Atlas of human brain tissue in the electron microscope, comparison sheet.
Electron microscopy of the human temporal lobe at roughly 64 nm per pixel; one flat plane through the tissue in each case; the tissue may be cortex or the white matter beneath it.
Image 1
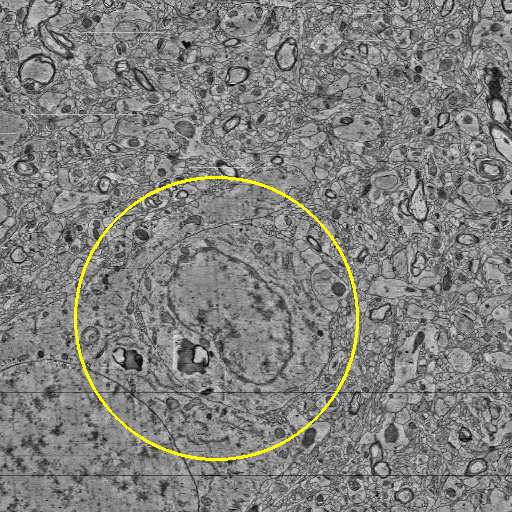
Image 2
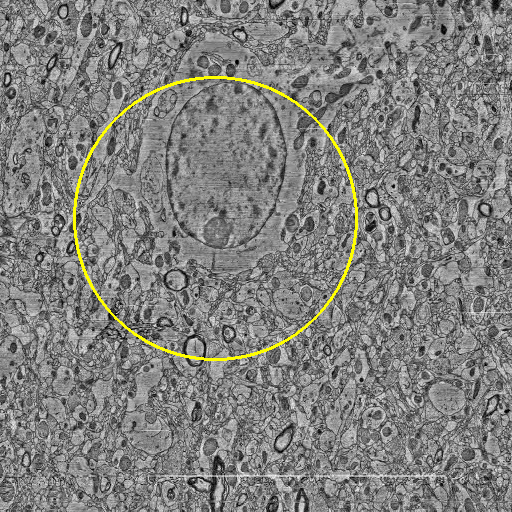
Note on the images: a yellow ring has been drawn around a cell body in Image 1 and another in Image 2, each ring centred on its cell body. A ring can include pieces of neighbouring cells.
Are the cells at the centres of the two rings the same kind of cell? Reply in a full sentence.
No, the two cells are of two kinds.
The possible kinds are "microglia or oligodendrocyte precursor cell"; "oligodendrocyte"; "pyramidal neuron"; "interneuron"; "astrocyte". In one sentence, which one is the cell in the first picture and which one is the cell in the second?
The cell ringed in the second picture is an astrocyte, whereas the one ringed in the first is an interneuron.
